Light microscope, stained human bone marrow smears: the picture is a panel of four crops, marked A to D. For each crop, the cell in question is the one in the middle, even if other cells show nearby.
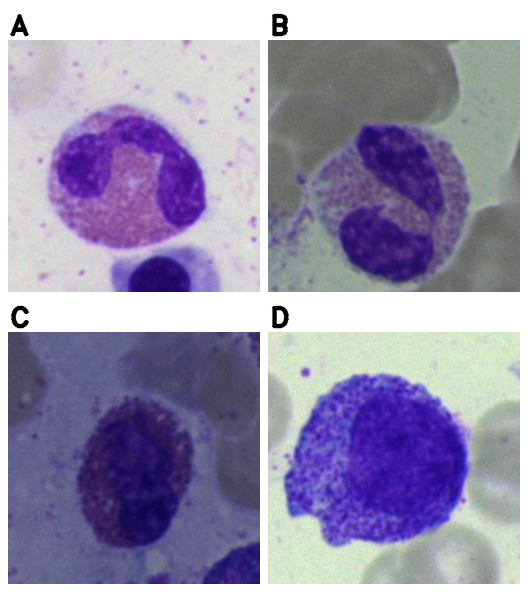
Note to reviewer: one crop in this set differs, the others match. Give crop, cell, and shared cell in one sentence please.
All the crops show eosinophils except crop D, which shows a promyelocyte.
